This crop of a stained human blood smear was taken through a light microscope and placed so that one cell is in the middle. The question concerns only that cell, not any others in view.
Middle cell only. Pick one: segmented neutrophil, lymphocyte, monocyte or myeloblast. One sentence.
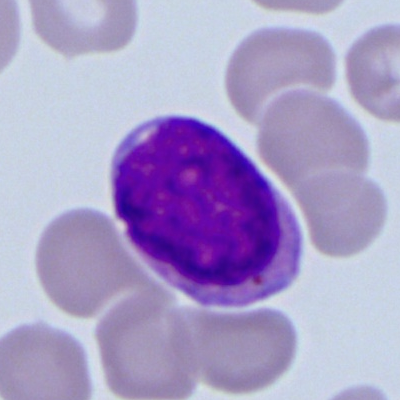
In the middle of this smear crop is a myeloblast.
